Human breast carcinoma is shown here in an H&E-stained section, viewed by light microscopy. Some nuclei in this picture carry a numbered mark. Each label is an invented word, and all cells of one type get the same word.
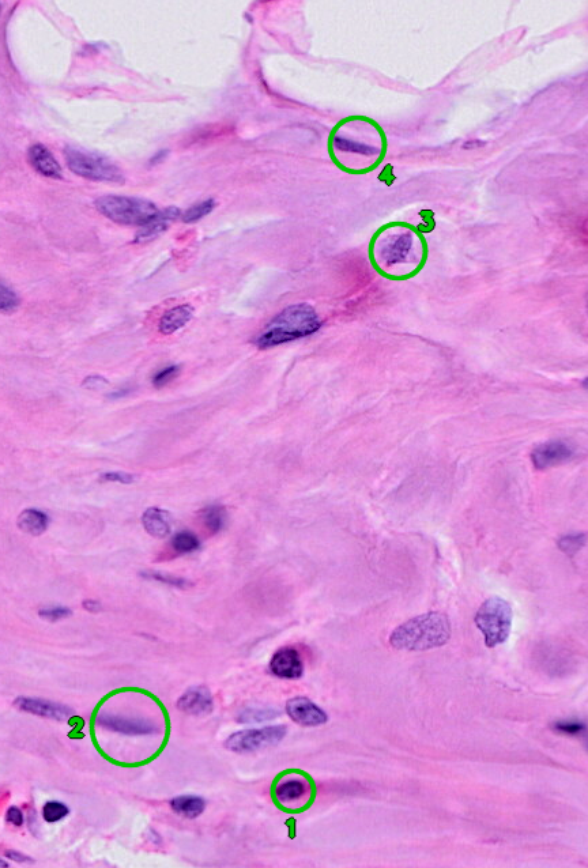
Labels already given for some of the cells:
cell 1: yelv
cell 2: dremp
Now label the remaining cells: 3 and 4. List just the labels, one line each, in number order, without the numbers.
dremp
dremp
